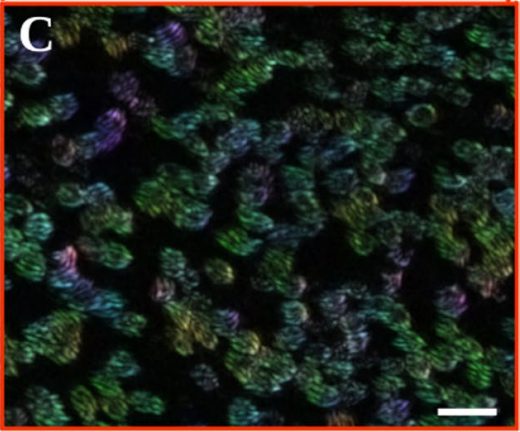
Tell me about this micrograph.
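The tufts are rounded or crescent-shaped, of fairly even size, and lie close together with dark gaps between them. Within each tuft fine parallel striations are visible, and each tuft has largely one colour. Most tufts are green to cyan, with fewer purple, blue and yellow ones.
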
